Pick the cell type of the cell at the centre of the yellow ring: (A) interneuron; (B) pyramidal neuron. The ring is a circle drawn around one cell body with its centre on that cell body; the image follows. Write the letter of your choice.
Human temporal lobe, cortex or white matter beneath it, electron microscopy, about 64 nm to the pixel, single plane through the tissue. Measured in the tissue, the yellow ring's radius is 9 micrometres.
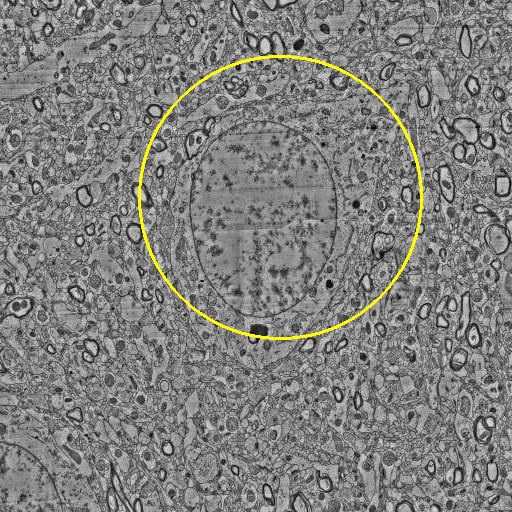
B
